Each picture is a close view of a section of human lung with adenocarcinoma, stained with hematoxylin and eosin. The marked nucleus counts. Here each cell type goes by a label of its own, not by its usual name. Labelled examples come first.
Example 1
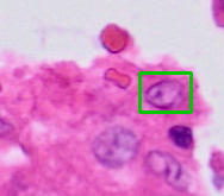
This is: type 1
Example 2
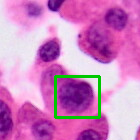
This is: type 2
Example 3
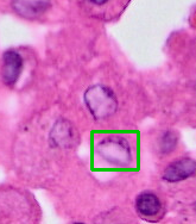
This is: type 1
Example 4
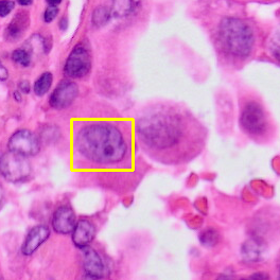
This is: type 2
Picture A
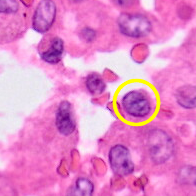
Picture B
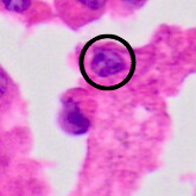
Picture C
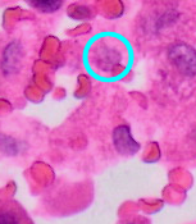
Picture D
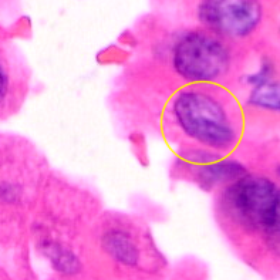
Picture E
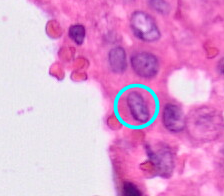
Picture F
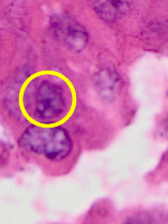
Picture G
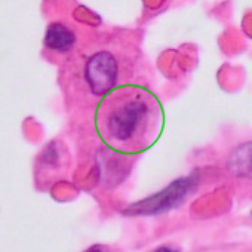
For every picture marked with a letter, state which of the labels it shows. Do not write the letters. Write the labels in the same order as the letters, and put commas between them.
type 1, type 1, type 1, type 2, type 1, type 2, type 1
